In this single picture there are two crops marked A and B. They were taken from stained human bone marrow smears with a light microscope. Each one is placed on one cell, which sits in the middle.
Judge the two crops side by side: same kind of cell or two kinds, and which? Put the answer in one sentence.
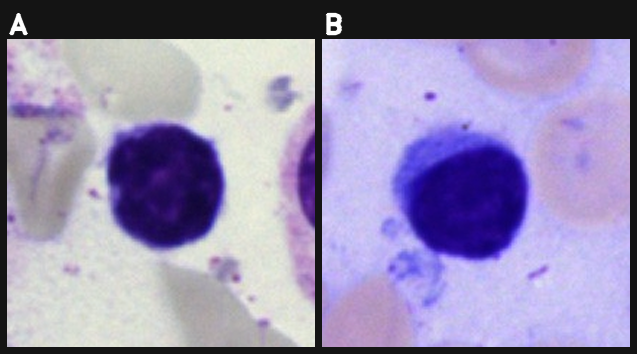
Yes, both crops are centred on cells that are lymphocytes.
